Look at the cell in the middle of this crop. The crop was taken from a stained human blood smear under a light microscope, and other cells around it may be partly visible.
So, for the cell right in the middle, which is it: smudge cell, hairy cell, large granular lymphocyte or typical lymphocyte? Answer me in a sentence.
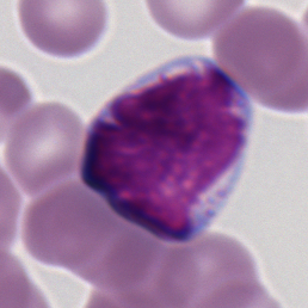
The centrally placed cell is classified as a large granular lymphocyte.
